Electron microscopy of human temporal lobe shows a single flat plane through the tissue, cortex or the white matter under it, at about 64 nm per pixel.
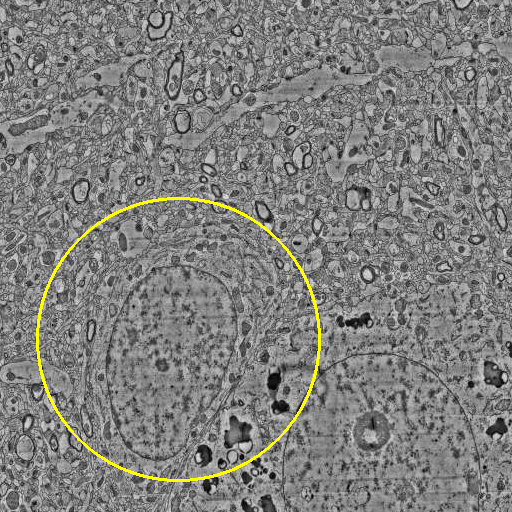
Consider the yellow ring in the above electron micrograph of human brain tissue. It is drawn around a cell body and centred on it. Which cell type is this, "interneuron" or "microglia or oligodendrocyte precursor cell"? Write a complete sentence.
The cell in question is an interneuron.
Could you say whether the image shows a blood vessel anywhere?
No.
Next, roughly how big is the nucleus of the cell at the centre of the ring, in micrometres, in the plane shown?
Roughly 13 by 8 micrometres; in this plane, clearly longer than it is wide.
